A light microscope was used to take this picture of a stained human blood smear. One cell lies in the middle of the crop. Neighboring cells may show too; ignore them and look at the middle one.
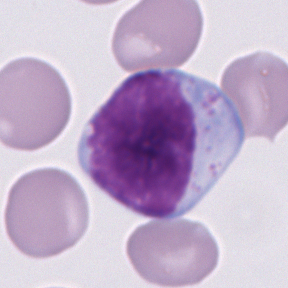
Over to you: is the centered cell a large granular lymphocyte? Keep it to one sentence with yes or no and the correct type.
Yes, a large granular lymphocyte is present in the middle of the crop.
